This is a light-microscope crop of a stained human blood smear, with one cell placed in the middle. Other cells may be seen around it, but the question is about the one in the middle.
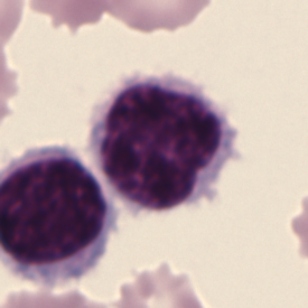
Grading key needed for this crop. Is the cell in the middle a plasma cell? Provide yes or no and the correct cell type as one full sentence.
No, instead of a plasma cell, the centred cell represents a hairy cell.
